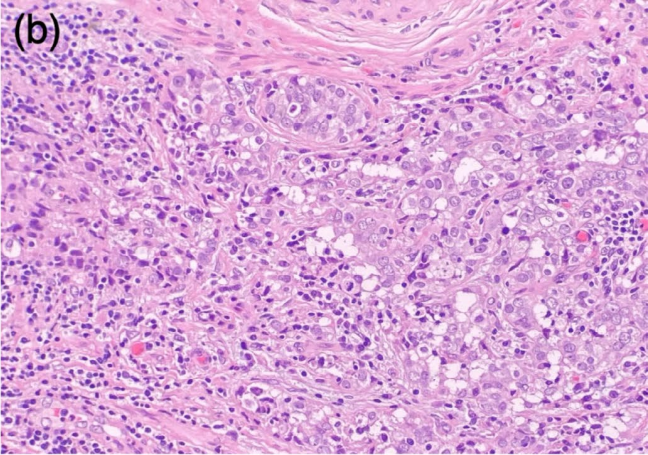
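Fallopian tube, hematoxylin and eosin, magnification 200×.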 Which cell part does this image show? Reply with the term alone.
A: abundant clear to eosinophilic cytoplasm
